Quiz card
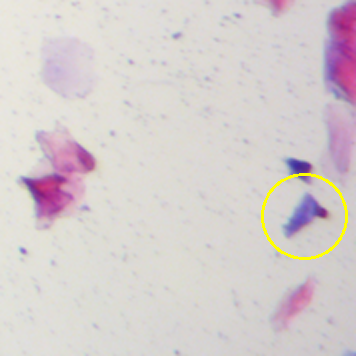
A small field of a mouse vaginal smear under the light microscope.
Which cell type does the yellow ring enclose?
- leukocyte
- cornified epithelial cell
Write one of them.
cornified epithelial cell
